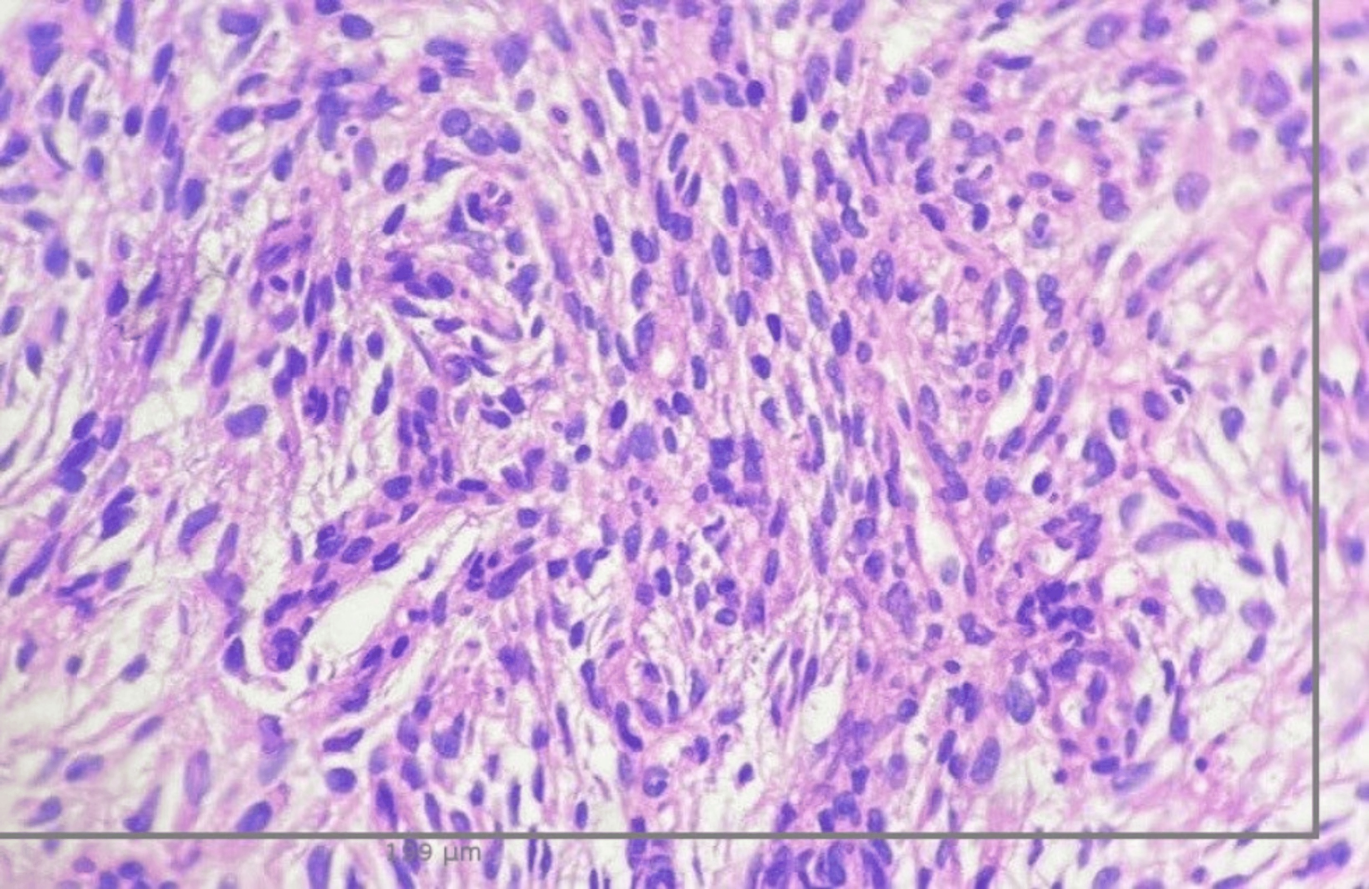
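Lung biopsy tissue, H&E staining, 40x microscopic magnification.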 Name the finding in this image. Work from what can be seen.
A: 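Spindle-shaped with elongated nuclei. Many cells are elongated, with cigar-shaped dark purple nuclei. The nuclei have blunt ends. Little pink cytoplasm surrounds these nuclei.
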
